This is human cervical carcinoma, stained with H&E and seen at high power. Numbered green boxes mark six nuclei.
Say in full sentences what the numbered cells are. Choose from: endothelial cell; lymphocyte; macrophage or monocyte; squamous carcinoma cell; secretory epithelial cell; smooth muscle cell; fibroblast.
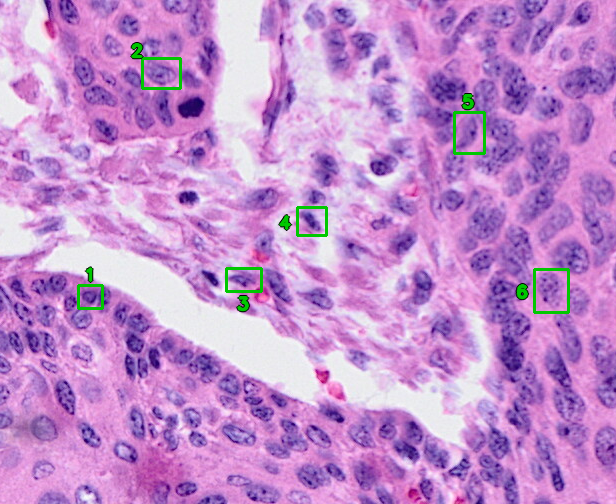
Cell 1 is a squamous carcinoma cell, cell 2 is a squamous carcinoma cell, cell 3 is an endothelial cell, cell 4 is a lymphocyte, cell 5 is a squamous carcinoma cell and cell 6 is a squamous carcinoma cell.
